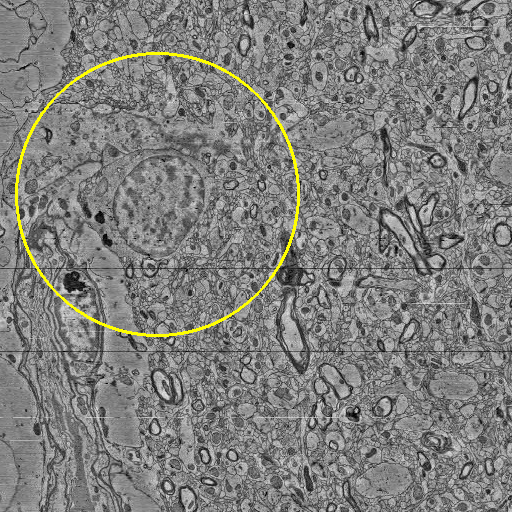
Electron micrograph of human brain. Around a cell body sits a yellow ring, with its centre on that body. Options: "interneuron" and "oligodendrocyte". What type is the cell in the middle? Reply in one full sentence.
The cell sitting at the centre of the yellow ring is an oligodendrocyte.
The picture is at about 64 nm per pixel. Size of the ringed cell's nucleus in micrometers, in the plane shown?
The nucleus is approximately 7 micrometers long by 6 micrometers wide in this plane.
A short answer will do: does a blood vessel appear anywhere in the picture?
Yes.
